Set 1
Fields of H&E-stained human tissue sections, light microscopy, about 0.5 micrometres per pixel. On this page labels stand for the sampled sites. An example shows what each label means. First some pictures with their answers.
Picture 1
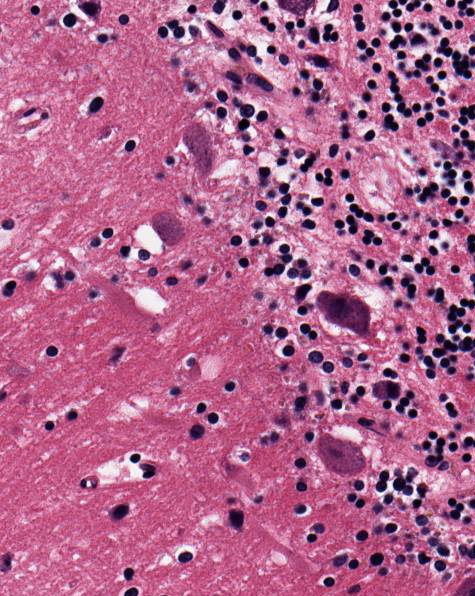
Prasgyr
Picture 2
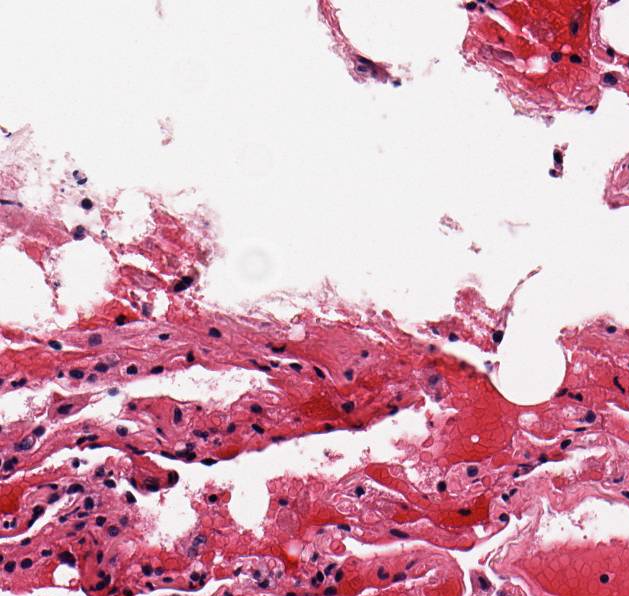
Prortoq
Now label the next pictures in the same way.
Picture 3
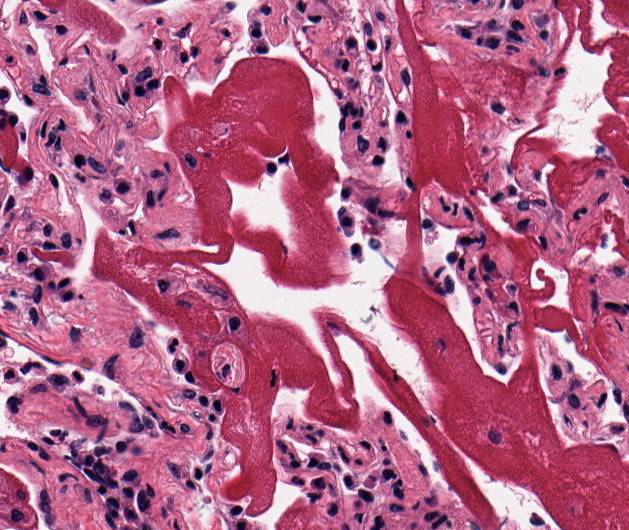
Prortoq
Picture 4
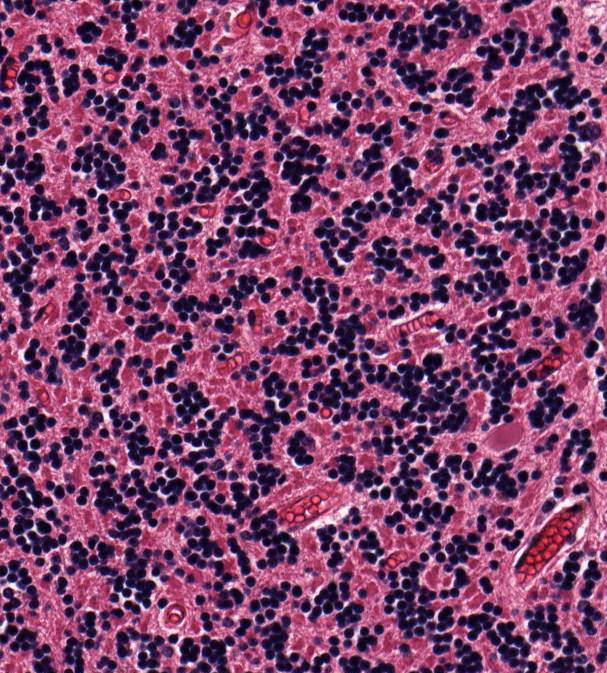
Prasgyr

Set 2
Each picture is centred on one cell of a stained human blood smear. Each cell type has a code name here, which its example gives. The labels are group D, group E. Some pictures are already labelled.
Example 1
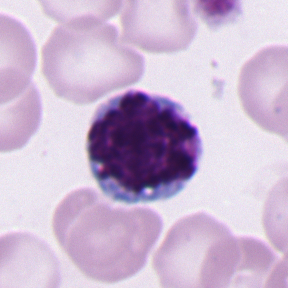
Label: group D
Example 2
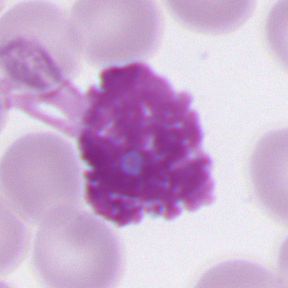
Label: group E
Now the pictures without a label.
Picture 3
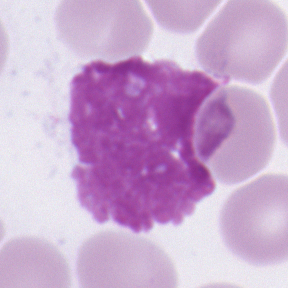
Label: group E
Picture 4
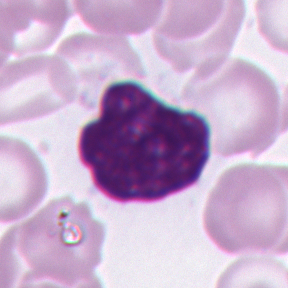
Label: group E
